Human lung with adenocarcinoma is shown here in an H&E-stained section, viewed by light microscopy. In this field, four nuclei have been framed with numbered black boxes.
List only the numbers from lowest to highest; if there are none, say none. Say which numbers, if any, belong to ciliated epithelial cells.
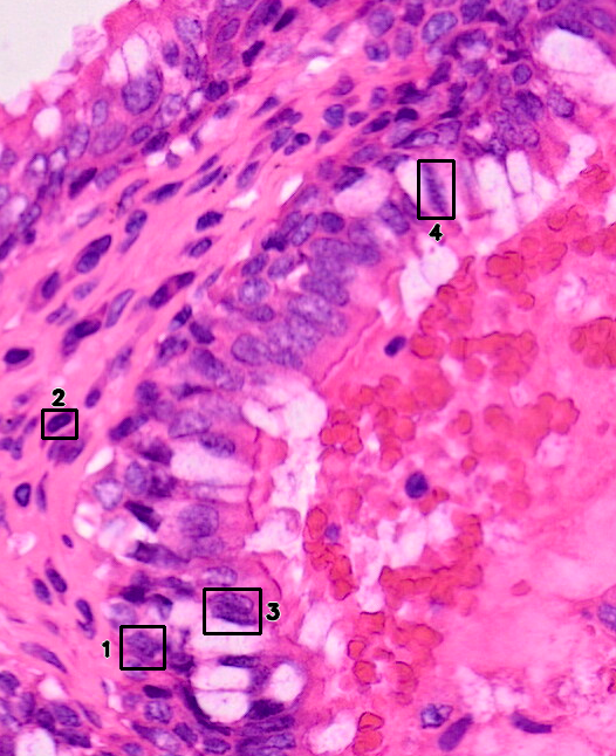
1, 3, 4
